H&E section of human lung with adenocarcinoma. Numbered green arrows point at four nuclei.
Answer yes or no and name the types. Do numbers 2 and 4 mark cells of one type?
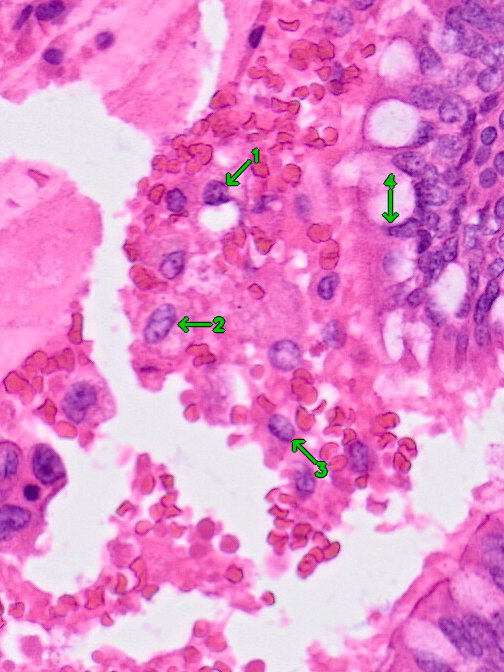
No, cell number 2 is a macrophage or monocyte, and cell number 4 is a ciliated epithelial cell.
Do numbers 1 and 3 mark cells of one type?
Yes, cell 1 and cell 3 are both macrophages or monocytes.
